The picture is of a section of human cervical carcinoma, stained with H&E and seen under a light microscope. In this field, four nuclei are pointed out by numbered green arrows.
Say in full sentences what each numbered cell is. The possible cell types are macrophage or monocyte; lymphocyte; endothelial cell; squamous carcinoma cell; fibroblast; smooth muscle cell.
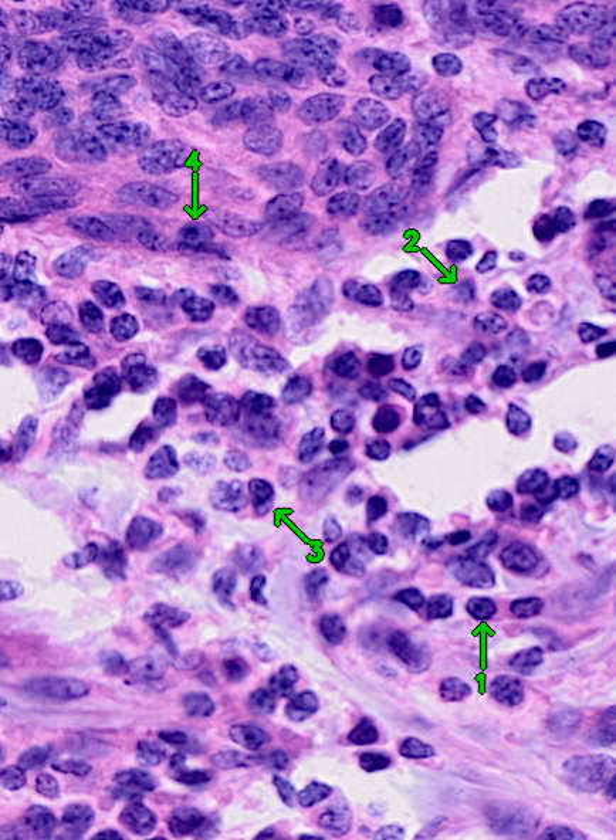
Cells 1, 2 and 3 are lymphocytes. Cell 4 is a squamous carcinoma cell.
